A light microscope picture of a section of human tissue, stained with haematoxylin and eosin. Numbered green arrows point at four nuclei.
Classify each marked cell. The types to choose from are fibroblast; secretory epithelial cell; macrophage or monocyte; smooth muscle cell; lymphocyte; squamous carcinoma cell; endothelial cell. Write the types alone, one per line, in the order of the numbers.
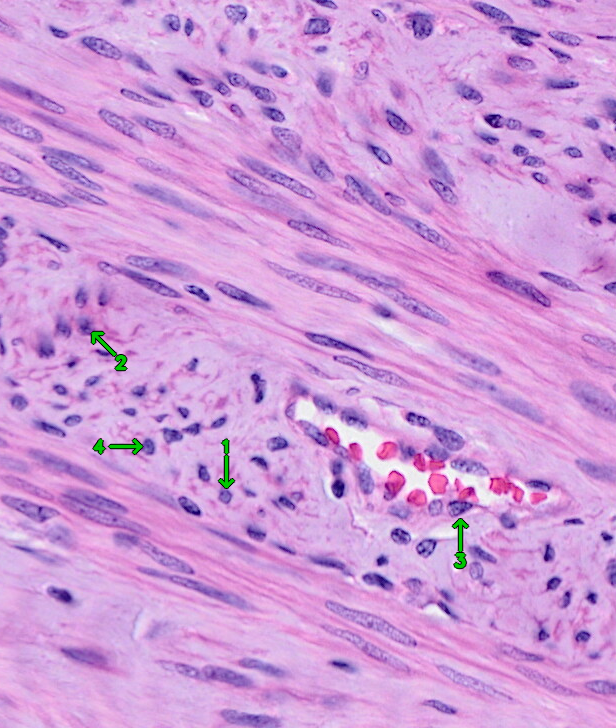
smooth muscle cell
smooth muscle cell
endothelial cell
smooth muscle cell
